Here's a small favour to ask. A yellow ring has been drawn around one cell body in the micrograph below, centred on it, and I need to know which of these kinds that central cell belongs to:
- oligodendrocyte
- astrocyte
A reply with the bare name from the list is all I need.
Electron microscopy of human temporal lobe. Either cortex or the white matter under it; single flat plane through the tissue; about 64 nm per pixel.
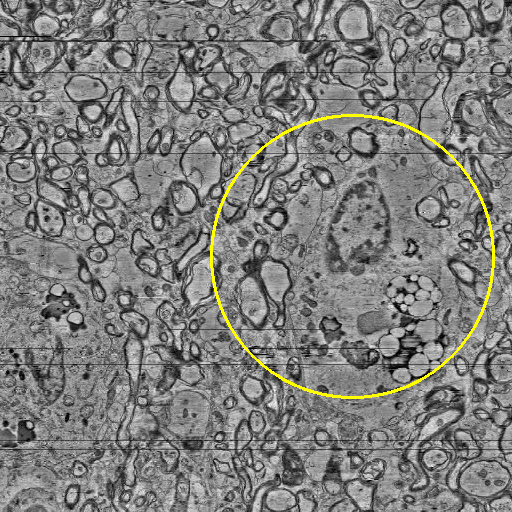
astrocyte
